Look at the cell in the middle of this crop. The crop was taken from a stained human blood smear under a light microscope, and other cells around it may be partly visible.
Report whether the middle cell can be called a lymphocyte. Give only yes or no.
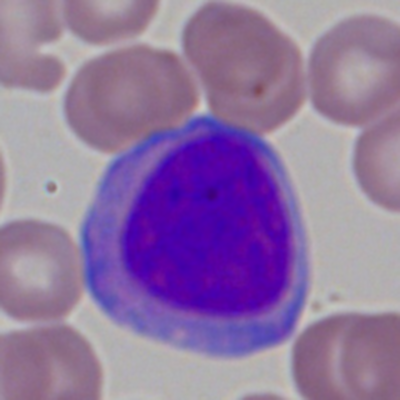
no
